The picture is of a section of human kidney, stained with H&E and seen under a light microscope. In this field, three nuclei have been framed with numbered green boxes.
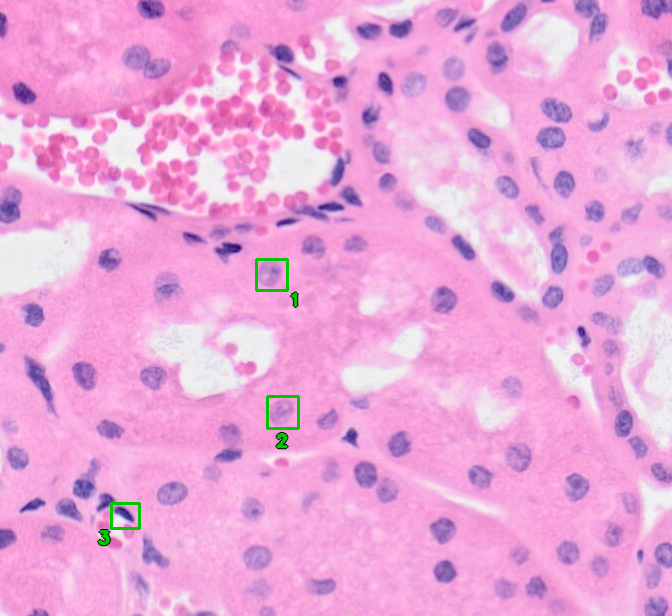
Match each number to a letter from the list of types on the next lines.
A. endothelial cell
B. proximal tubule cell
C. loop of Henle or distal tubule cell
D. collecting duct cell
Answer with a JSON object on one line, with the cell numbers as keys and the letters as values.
{"1": "B", "2": "B", "3": "A"}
